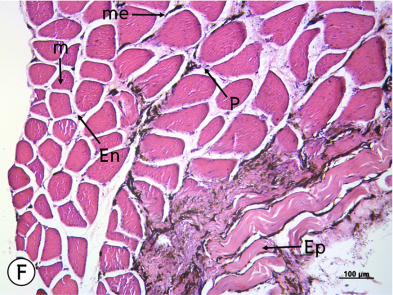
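Cross-section of striated muscle with polygonal, evenly pink muscle fibers of varying size grouped in bundles. Thin pale sheaths surround each fiber and wider pale septa separate the bundles. Dense black granular pigment gathers in the thick connective tissue sheath along the lower edge and extends into the septa between bundles. The muscle fibers themselves are free of black pigment.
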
